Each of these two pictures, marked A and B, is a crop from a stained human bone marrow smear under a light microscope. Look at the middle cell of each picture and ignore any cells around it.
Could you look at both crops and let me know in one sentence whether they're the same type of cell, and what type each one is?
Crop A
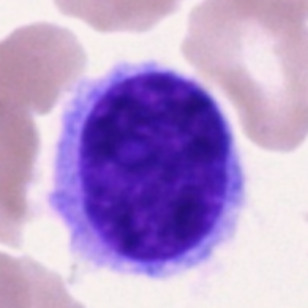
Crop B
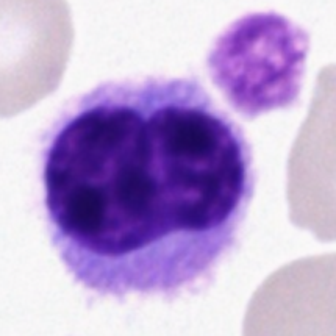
Yes, in both of the crops, the central cells are hairy cells.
